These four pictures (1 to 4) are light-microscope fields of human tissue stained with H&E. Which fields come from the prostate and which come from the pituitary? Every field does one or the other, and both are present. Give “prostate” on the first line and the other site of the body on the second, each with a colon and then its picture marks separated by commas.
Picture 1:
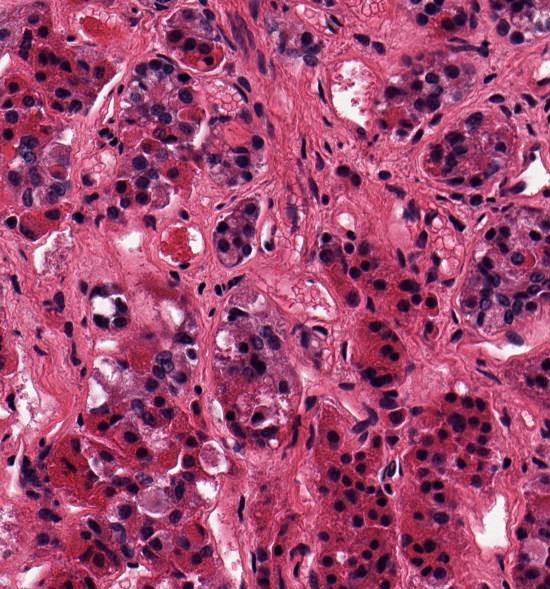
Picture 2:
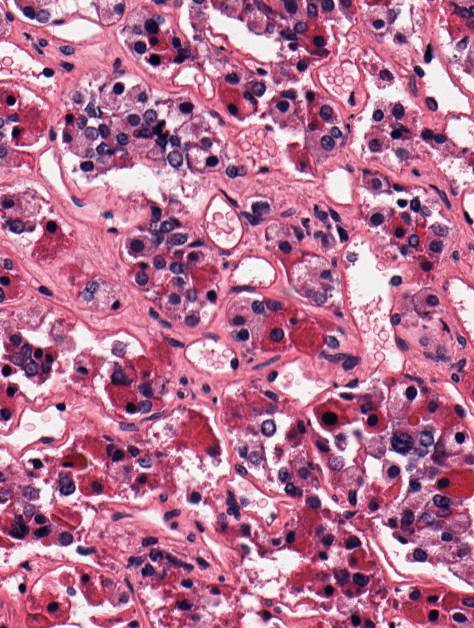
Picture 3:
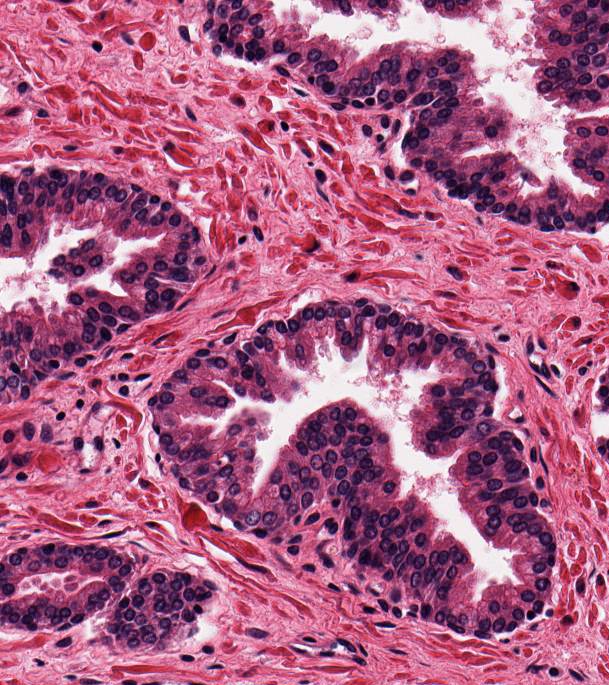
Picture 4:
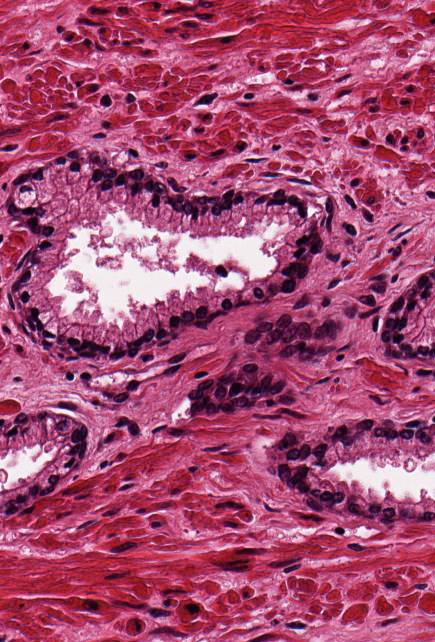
prostate: 3, 4
pituitary: 1, 2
